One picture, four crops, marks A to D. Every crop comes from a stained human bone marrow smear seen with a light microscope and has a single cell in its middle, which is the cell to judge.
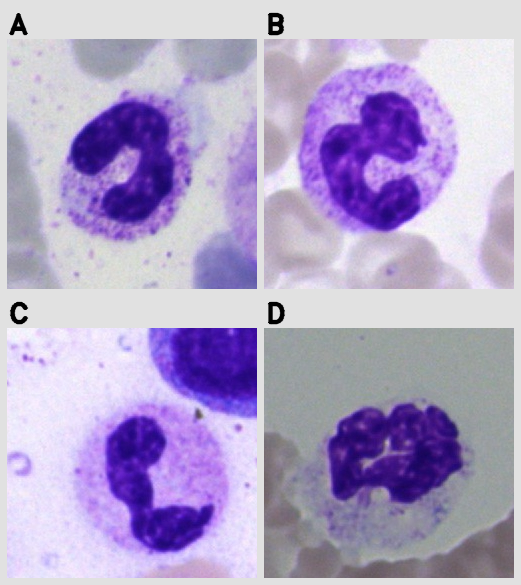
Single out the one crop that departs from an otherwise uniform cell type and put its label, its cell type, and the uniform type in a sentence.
All of the other crops show segmented neutrophils; crop A, by contrast, is a band neutrophil.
